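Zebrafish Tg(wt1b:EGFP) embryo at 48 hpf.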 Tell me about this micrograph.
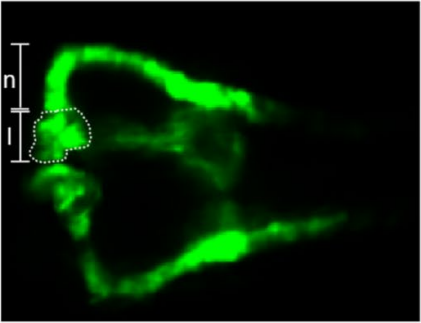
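This shows a zebrafish embryonic kidney, the pronephros, in green fluorescence, seen from above. Two bright green tubes form a paired, V-shaped structure. At the front, near the midline, each side ends in a compact bright mass, the glomerulus. One of these masses is outlined by a dotted line. Fainter, hazier green signal lies between the two tubes. The individual cells cannot be told apart; only the outline of the organ is visible.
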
